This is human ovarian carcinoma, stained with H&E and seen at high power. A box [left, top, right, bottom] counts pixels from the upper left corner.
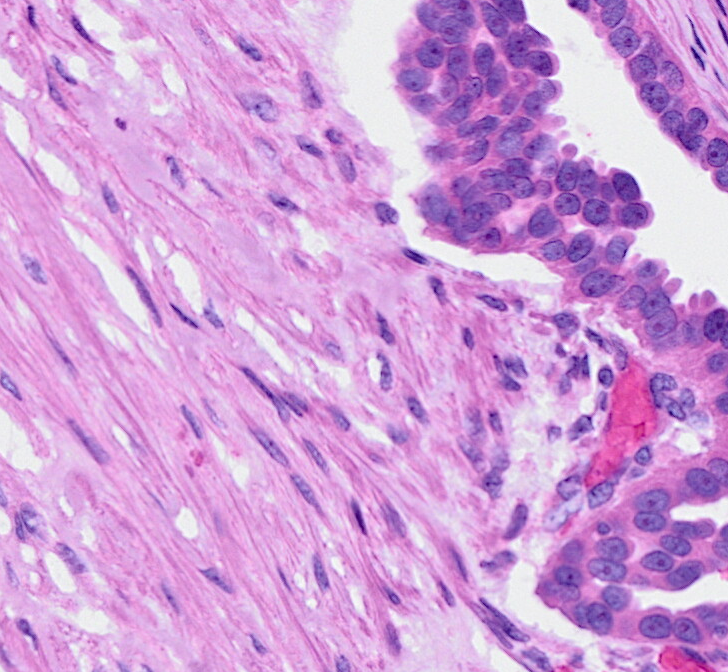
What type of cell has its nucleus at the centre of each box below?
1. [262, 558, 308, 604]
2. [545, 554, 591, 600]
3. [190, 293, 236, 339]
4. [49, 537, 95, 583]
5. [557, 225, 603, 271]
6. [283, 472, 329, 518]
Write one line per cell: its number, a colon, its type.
1: fibroblast
2: carcinoma cell
3: fibroblast
4: fibroblast
5: carcinoma cell
6: fibroblast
